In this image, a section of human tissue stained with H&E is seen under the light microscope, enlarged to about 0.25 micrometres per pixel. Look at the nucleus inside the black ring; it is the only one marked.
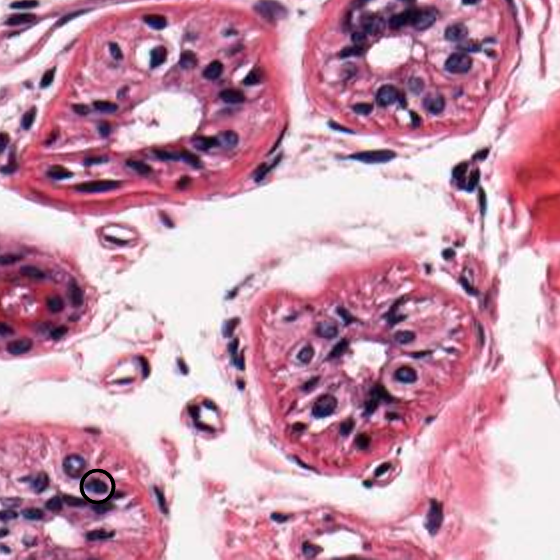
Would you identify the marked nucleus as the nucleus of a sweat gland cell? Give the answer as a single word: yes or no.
yes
